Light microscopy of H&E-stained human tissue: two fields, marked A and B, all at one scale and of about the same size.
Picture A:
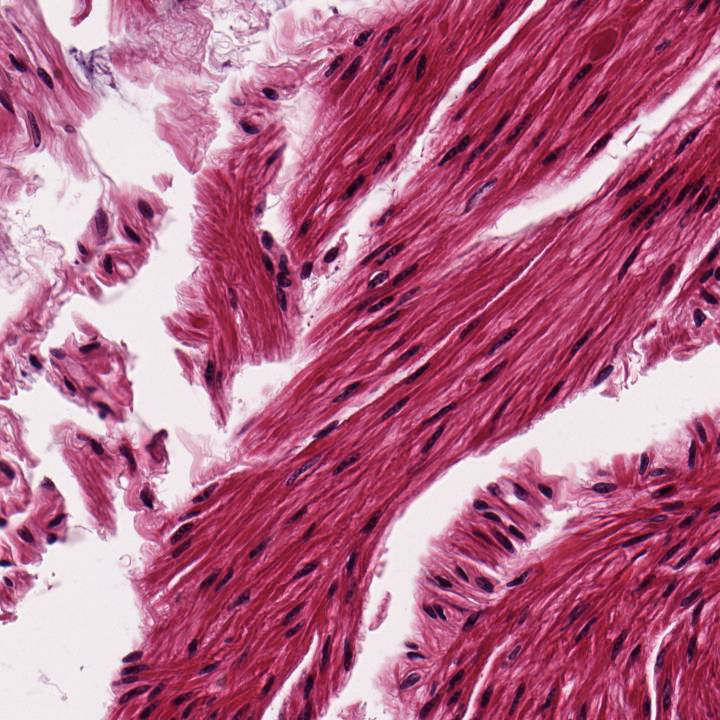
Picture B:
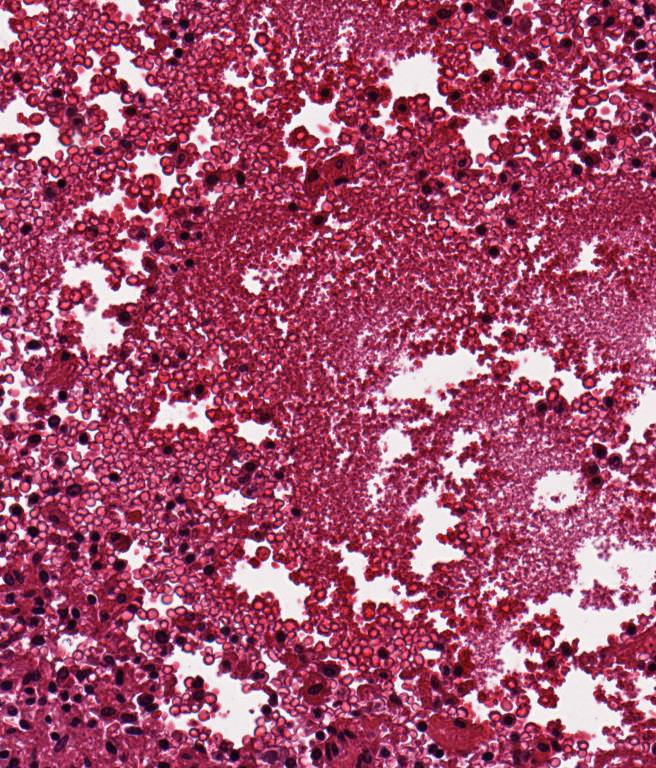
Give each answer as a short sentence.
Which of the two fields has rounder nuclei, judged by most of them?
It is picture B whose nuclei are the rounder.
